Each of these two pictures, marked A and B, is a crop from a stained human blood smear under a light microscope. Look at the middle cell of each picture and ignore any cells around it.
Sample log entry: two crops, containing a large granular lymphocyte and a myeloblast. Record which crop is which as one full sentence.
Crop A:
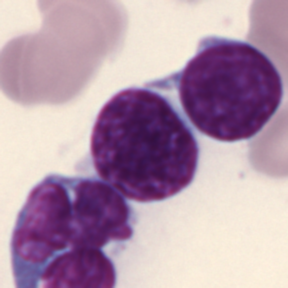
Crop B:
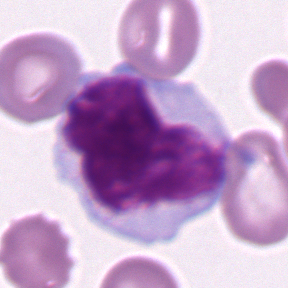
The cell in crop A is a myeloblast, whereas the cell in crop B is a large granular lymphocyte.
